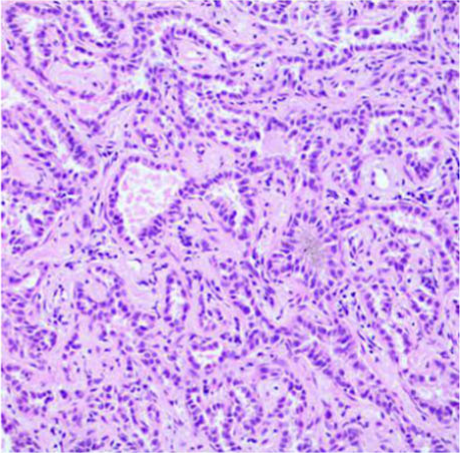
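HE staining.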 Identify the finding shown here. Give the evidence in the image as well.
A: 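Invasive adenocarcinoma. Crowded, irregular gland-like tubules lined by cuboidal to columnar cells. Glands are set in a pink fibrous stroma. No intact thin alveolar walls are seen.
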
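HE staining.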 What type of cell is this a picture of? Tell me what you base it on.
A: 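Many epithelial cells with dark, crowded oval nuclei form irregular tubules. The tubules lie within pink fibrous tissue between them.
Conclusion: tumour cells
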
